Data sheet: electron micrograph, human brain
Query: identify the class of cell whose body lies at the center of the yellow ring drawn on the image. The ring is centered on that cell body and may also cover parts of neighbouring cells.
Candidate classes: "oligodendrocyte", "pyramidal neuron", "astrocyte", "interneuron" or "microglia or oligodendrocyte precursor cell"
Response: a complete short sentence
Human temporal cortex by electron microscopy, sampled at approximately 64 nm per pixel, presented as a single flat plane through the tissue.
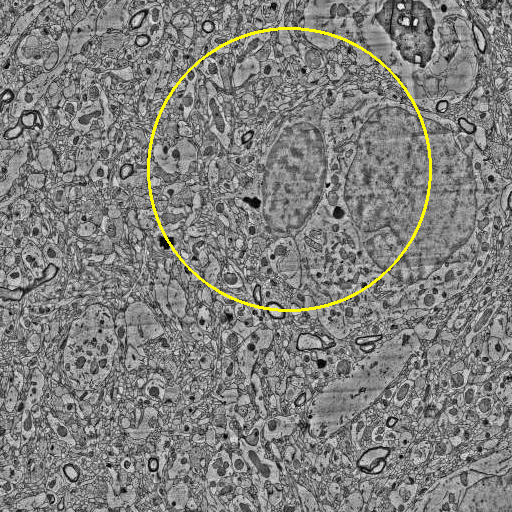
At the center of the ring lies an astrocyte.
